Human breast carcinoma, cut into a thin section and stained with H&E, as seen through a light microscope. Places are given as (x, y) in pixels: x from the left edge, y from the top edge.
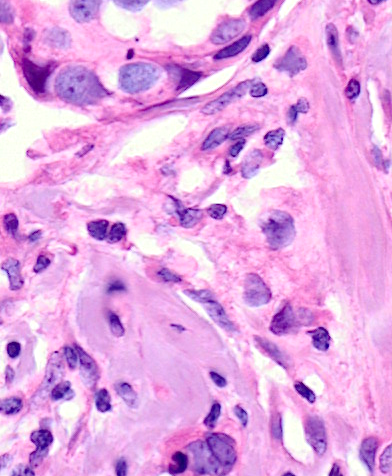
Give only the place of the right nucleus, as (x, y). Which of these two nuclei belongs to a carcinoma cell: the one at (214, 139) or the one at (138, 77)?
(138, 77)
